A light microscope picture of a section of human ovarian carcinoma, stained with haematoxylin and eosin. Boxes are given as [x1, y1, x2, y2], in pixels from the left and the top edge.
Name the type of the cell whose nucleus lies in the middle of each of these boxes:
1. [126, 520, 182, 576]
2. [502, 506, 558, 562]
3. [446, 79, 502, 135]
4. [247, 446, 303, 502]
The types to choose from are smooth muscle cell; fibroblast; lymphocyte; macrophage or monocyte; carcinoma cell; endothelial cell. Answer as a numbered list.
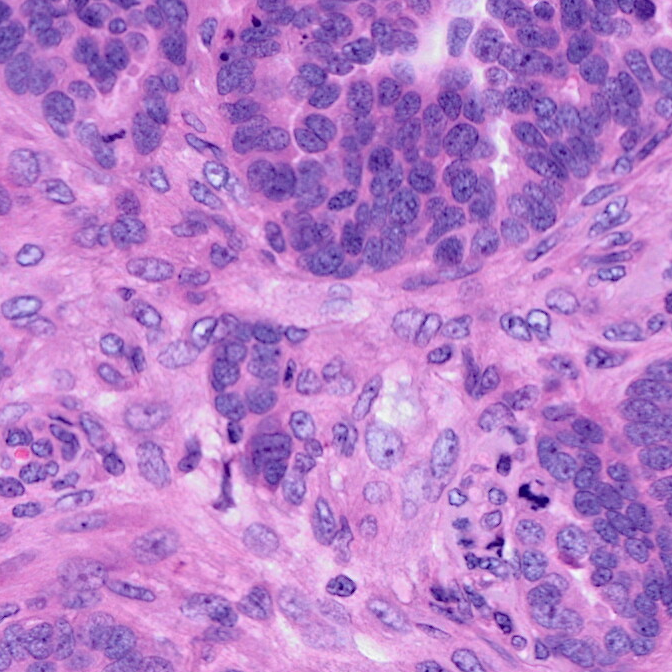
1. fibroblast
2. carcinoma cell
3. carcinoma cell
4. carcinoma cell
